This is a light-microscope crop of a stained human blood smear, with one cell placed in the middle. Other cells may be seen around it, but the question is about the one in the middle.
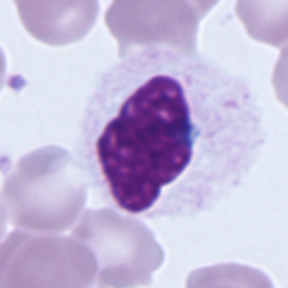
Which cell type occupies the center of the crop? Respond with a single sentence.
The centered cell in this crop is a segmented neutrophil.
